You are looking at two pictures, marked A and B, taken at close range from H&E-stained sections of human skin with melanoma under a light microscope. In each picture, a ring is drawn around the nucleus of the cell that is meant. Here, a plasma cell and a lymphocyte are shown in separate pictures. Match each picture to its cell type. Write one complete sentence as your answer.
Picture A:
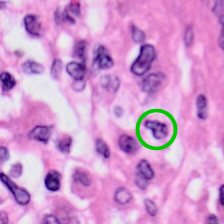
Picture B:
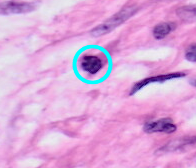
Picture A shows a lymphocyte and picture B shows a plasma cell.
